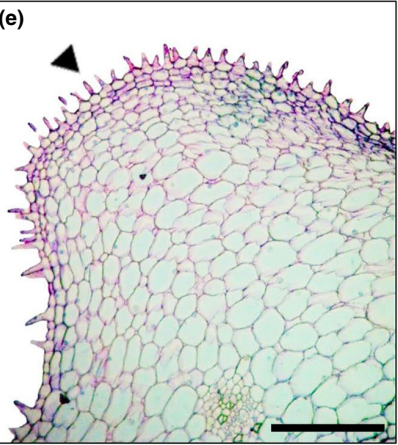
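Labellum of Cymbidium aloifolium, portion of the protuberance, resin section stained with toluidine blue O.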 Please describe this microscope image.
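Many slender, finger-like outgrowths stand out from the outer cell layer all around the curved margin. Just beneath the surface lie a few layers of small, densely packed cells with purple-stained walls. Deeper inside, the tissue is made of large, polygonal, thin-walled parenchyma cells with clear contents.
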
